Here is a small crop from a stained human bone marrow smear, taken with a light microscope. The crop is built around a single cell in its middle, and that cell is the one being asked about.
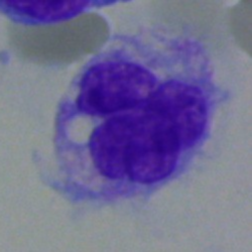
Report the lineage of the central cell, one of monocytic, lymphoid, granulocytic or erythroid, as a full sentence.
The centered cell is a member of the monocytic lineage.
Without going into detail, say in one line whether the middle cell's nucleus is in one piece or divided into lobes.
Kindly observe that the nucleus forms two or more lobes.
